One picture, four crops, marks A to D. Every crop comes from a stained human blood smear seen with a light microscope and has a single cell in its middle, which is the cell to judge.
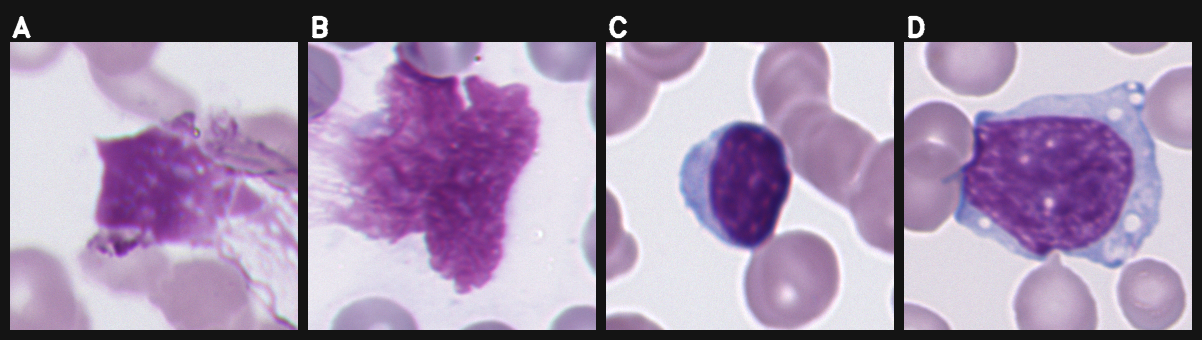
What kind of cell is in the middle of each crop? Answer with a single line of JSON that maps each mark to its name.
{"A": "smudge cell", "B": "smudge cell", "C": "typical lymphocyte", "D": "myeloblast"}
